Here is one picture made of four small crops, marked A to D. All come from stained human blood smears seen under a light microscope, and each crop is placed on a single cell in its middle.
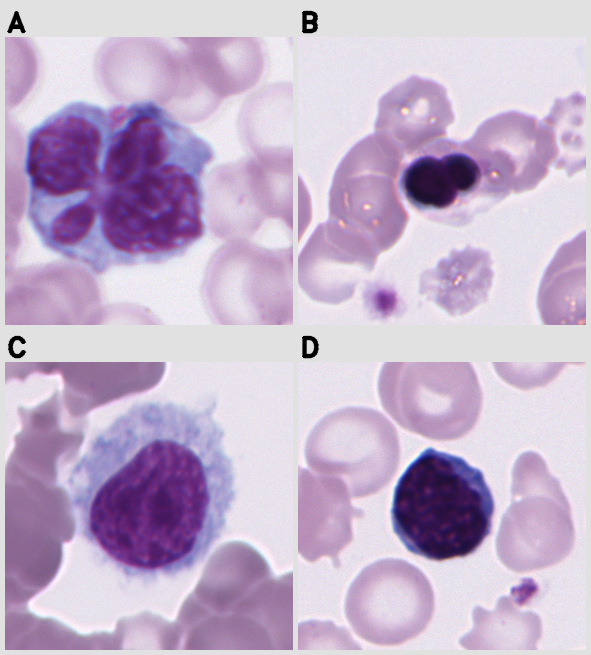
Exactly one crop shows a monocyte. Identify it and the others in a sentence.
Crop A proves to be a monocyte, while crop B is an erythroblast, crop C is a hairy cell and crop D is a typical lymphocyte.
